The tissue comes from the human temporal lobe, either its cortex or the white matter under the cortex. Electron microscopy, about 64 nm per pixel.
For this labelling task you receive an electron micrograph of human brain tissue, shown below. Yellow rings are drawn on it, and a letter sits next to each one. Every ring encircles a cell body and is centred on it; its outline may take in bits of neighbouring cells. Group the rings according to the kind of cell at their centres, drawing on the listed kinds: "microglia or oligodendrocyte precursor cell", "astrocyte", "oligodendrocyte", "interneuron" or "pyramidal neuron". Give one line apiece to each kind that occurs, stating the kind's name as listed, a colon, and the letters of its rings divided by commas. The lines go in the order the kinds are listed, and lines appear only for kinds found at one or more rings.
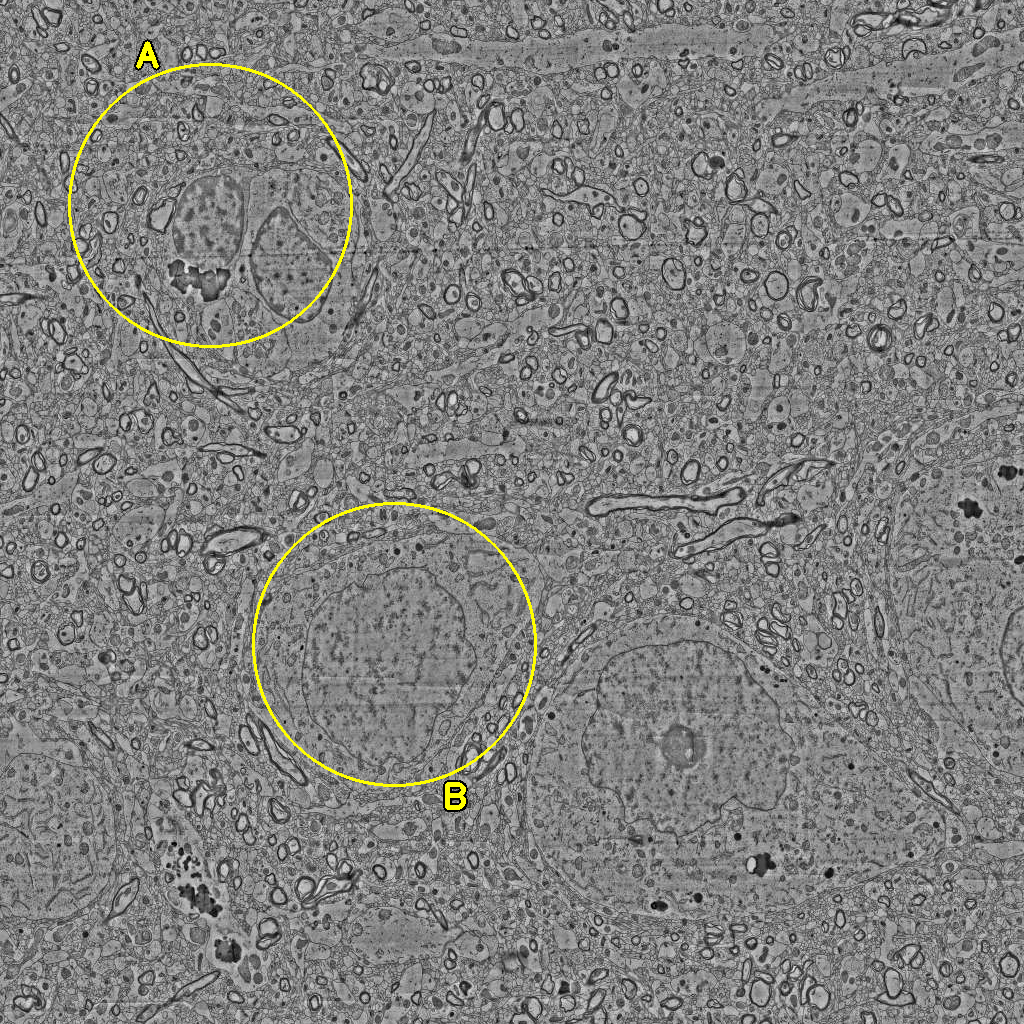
oligodendrocyte: A
pyramidal neuron: B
